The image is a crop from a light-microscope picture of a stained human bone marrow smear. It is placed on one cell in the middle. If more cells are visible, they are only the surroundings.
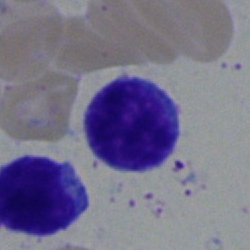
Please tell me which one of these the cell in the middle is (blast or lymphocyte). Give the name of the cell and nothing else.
lymphocyte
